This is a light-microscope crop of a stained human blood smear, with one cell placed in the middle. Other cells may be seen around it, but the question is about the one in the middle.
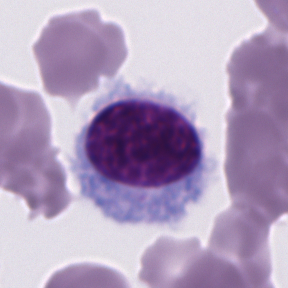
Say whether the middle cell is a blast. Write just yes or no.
no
